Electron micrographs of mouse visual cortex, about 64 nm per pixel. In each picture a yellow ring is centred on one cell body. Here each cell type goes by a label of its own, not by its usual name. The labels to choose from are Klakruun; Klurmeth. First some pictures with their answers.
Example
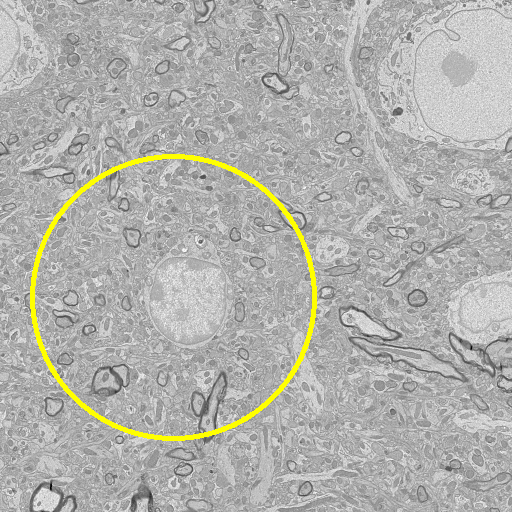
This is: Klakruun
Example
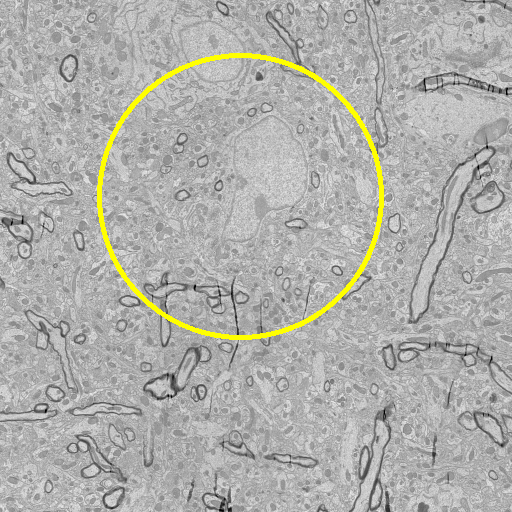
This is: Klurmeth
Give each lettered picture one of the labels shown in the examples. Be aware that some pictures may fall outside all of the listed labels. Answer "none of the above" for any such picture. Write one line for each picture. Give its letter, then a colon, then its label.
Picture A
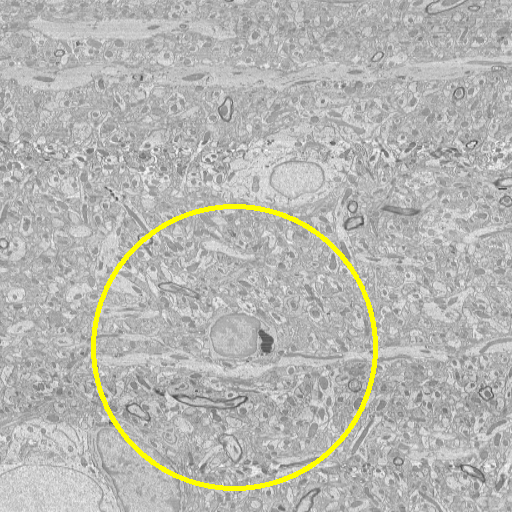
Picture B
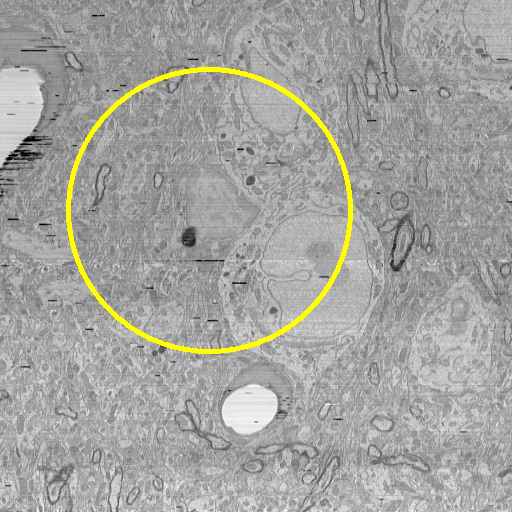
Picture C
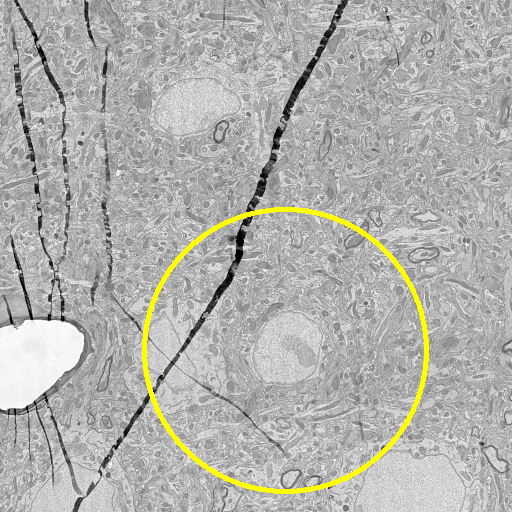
A: none of the above
B: none of the above
C: Klurmeth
